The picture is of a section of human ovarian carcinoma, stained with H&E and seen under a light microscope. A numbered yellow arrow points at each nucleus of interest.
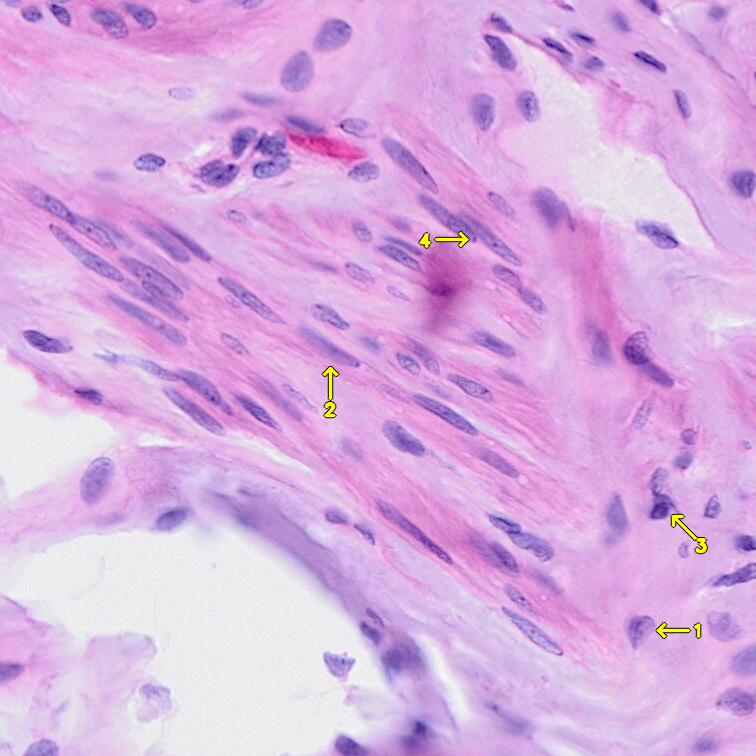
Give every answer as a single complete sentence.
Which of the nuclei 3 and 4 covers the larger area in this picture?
Nucleus 4 is larger, with an area about 1.5 times that of nucleus 3.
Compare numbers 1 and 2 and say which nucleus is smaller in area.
The smaller nucleus is 1, and 2 covers roughly 1.5 times its area.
